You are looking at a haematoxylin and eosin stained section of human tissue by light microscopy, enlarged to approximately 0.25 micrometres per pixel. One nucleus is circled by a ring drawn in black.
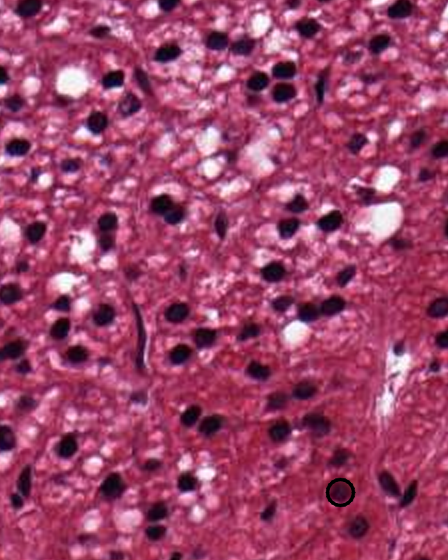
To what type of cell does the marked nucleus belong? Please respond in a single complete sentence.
What the marked nucleus belongs to is an adrenal cortical cell.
